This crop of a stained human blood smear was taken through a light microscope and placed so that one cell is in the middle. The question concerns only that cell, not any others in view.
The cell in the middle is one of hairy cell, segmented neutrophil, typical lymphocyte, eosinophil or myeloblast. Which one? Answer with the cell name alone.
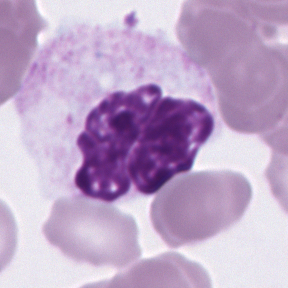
segmented neutrophil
